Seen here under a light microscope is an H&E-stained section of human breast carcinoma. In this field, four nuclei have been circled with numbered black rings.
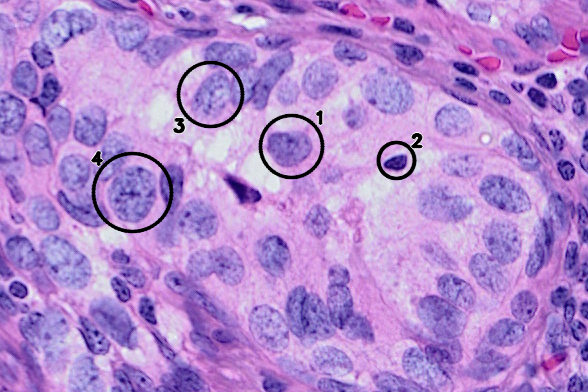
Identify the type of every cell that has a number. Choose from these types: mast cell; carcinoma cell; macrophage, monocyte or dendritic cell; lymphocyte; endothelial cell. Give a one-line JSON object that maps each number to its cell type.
{"1": "carcinoma cell", "2": "lymphocyte", "3": "carcinoma cell", "4": "carcinoma cell"}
